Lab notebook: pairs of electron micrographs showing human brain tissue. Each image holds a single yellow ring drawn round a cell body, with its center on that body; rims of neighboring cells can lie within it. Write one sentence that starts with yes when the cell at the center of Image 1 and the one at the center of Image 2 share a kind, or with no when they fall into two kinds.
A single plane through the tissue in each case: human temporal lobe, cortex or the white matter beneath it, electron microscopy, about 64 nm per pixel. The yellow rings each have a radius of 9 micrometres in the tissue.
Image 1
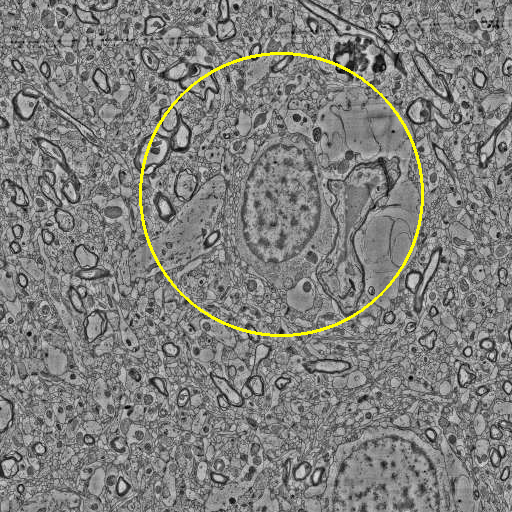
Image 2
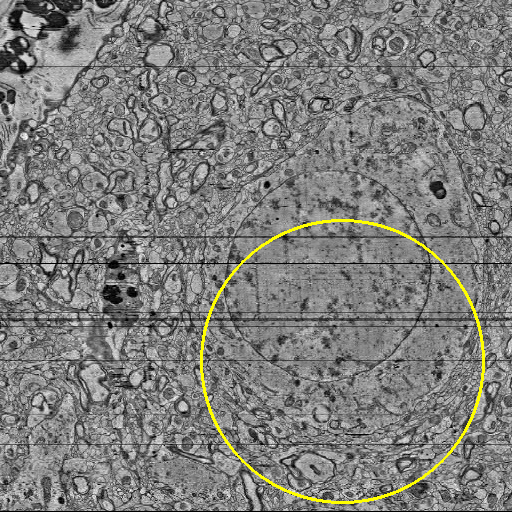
No, the centered cell in Image 1 and the centered cell in Image 2 are of two kinds.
